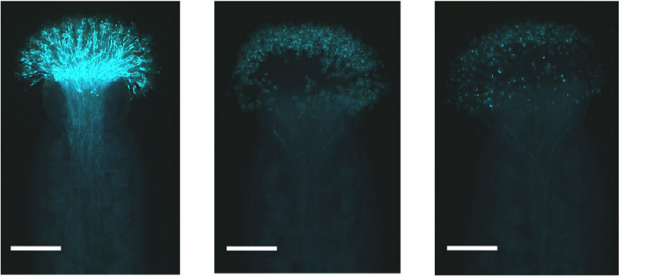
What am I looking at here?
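The stain fluoresces pale cyan. In the left pistil, a dense brush of bright cyan threads fans out from the top and converges downward into the column, where fainter threads continue. In the middle and right pistils, the top carries only scattered bright cyan dots and specks, and few or no threads run down into the column. The outline of the column is only faintly visible in all three.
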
